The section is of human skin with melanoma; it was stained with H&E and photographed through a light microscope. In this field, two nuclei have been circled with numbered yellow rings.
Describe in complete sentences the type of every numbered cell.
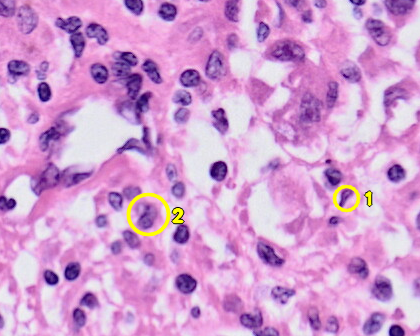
Cell 1 is a fibroblast or myofibroblast. Cell 2 is a macrophage or monocyte.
